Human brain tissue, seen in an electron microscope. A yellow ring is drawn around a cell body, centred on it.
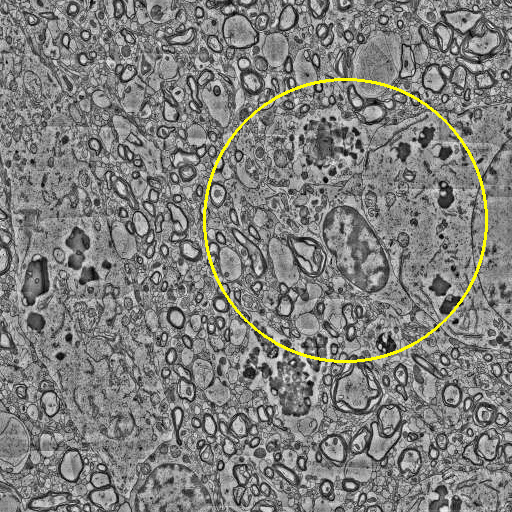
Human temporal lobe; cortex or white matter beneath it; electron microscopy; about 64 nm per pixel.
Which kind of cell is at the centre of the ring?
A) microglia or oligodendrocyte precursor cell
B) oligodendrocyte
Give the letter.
A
